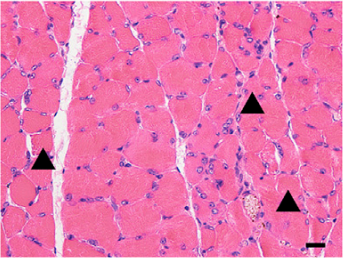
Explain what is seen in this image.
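This is a transverse section of skeletal muscle in which the fibers are cut across and appear as pink, rounded to angular profiles that vary widely in size, many being small. Numerous dark purple nuclei crowd the spaces between the fibers, giving the field a more cellular look, and some clusters of nuclei lie in the wider gaps. The connective tissue between the fibers is more conspicuous, and a broad pale band crosses the field vertically. Fiber cytoplasm is pink, with a slightly uneven texture.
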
